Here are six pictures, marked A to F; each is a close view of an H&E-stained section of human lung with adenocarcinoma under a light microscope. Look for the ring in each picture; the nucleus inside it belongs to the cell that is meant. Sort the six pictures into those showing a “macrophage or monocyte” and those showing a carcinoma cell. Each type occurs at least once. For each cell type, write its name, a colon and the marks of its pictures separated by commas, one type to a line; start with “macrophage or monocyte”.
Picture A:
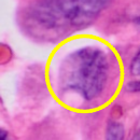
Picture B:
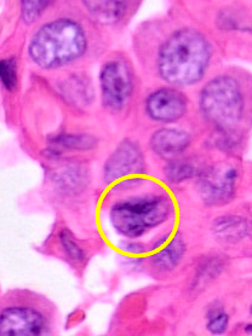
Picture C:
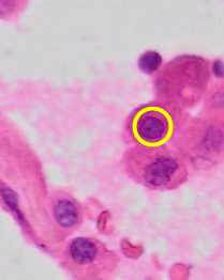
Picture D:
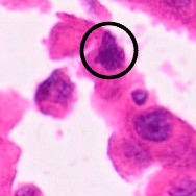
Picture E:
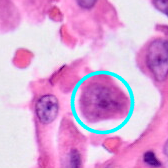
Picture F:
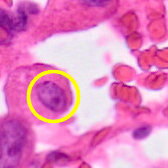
macrophage or monocyte: C, F
carcinoma cell: A, B, D, E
